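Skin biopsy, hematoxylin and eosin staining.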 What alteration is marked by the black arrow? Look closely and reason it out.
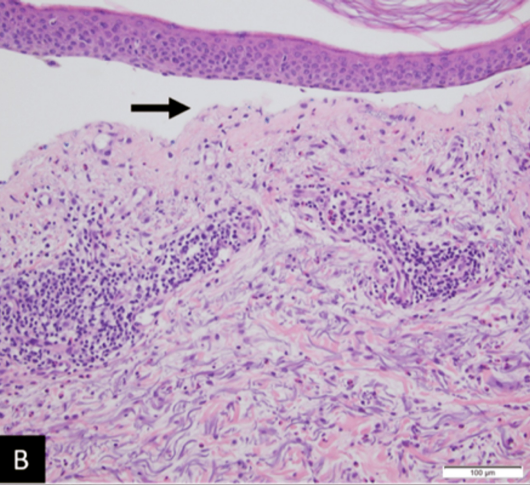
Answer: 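The epidermis lies as a detached band above an empty cleft. The floor of the cleft is formed by dermal connective tissue.
Sub-epidermal blister.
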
